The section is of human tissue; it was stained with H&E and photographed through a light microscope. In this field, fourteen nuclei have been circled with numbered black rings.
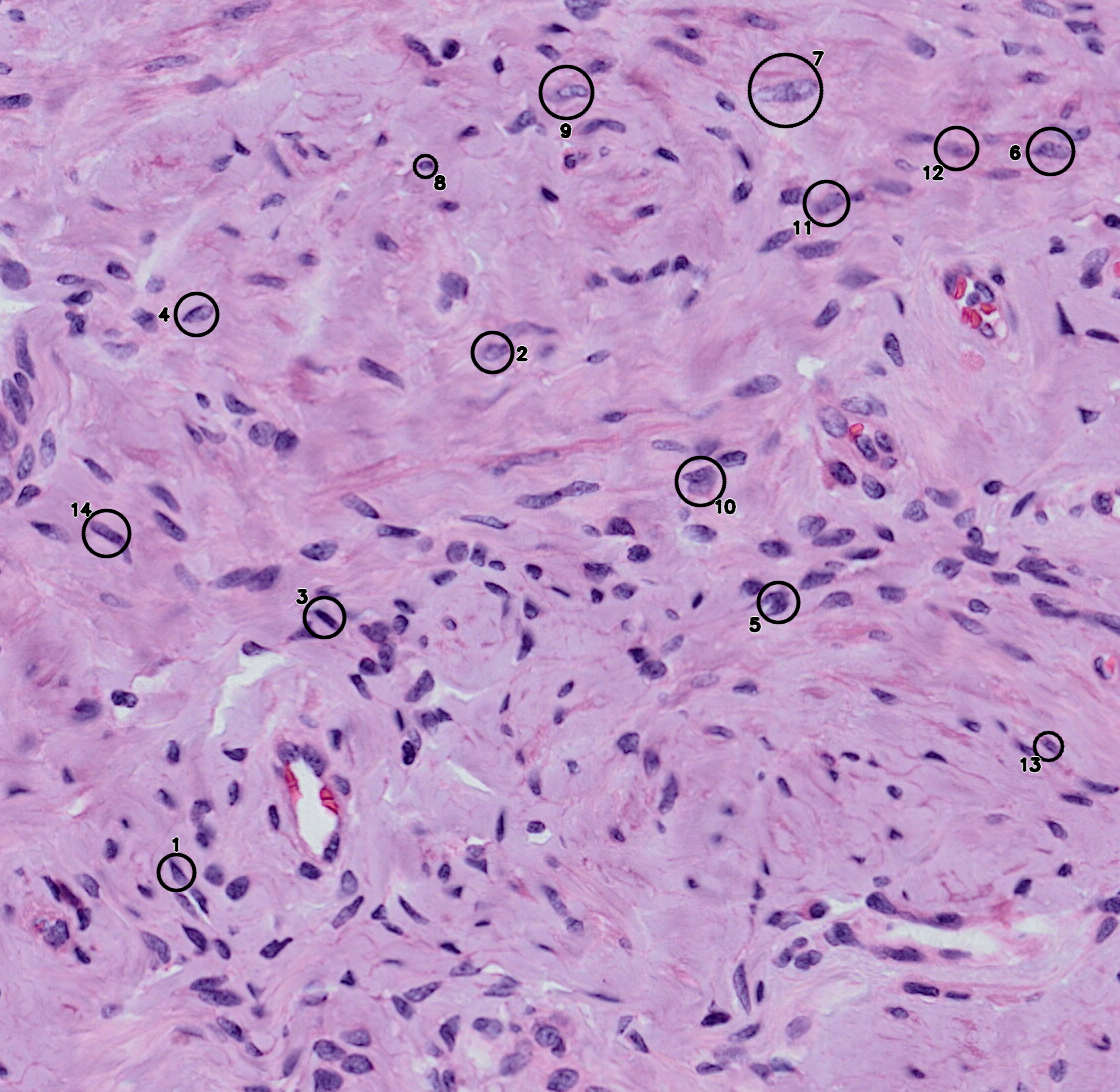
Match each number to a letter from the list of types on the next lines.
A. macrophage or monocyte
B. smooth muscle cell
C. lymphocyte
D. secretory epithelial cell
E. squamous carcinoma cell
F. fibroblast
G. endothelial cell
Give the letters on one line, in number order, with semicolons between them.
F; F; F; F; F; B; B; F; B; F; B; B; B; F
